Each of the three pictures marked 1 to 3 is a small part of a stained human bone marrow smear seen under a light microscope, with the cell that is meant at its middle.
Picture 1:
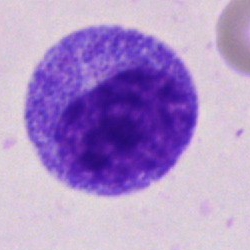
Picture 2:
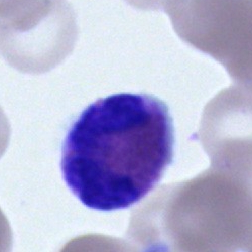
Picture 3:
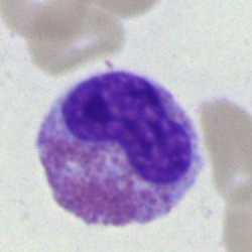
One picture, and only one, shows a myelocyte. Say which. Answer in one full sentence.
Picture 1 is the one that shows the myelocyte.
